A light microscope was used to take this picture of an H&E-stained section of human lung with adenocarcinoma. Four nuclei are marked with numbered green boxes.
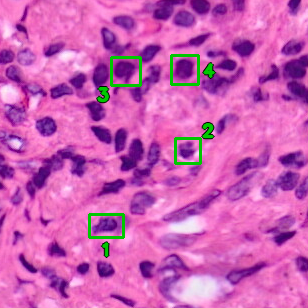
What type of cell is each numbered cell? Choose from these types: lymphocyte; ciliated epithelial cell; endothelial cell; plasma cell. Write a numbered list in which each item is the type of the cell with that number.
1. lymphocyte
2. lymphocyte
3. plasma cell
4. plasma cell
